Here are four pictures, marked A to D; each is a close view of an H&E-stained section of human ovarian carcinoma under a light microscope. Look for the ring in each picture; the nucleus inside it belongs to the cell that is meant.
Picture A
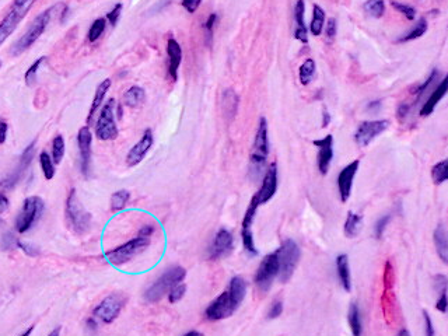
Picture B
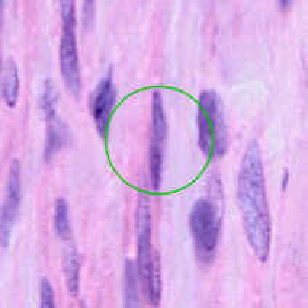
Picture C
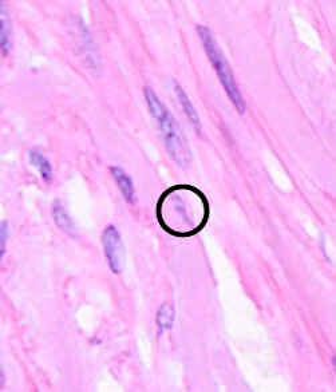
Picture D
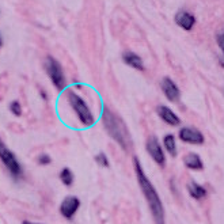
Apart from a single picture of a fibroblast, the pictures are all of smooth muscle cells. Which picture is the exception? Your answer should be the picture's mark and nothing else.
C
